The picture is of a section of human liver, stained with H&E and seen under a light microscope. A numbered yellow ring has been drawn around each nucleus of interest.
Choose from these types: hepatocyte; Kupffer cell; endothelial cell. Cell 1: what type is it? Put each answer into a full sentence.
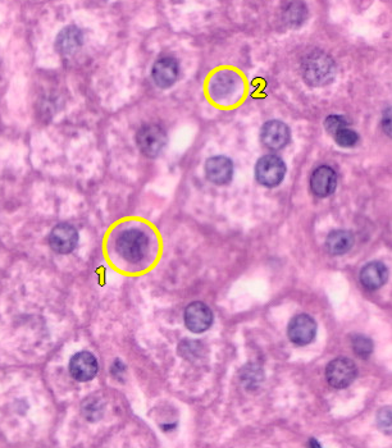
The cell referenced by the number 1 is an endothelial cell in this field.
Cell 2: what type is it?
In the marked set, the cell given number 2 is a hepatocyte.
